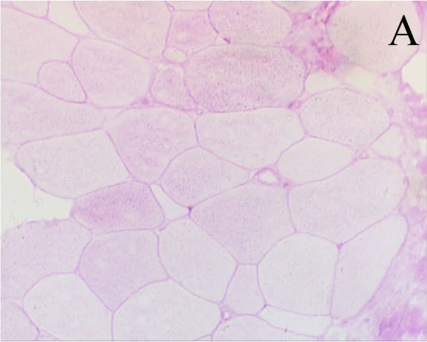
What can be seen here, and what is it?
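This is a cross-section of skeletal muscle in which the fibres are seen end-on as rounded to polygonal profiles. The magenta colour here is faint overall, and most fibres look pale pink with only a light granular texture. A few fibres stand out as somewhat darker than the rest. The fibres are separated by thin, sharply drawn pink boundaries of connective tissue. Toward the upper right edge, looser pinkish material lies outside the fibres.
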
